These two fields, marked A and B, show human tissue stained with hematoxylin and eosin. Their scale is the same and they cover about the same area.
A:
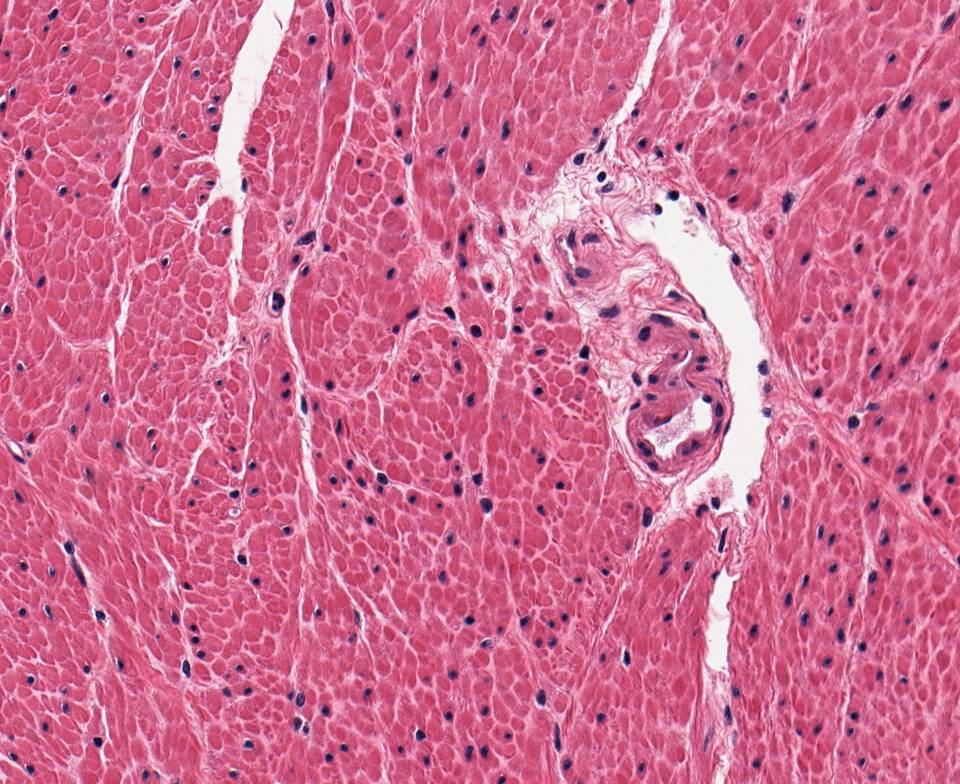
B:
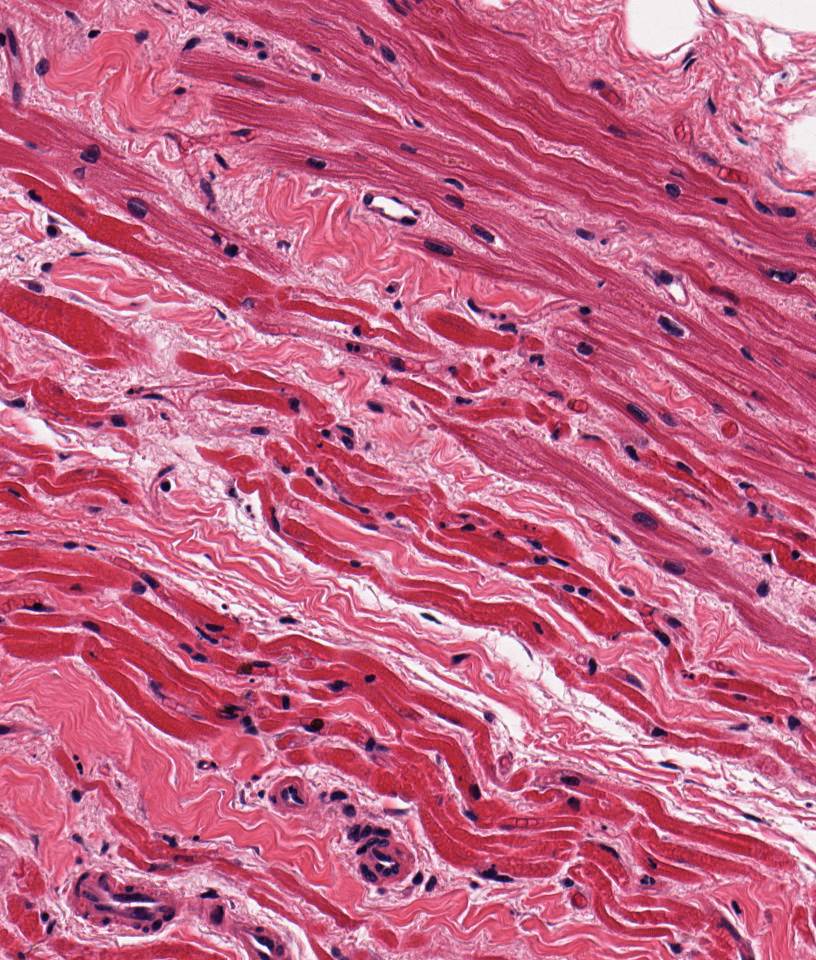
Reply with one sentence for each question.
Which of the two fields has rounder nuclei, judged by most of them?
The nuclei are rounder in field A.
